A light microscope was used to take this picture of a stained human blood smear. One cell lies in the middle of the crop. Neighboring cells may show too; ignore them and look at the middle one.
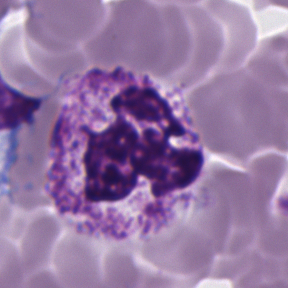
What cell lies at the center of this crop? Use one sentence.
Here the cell in the middle is a segmented neutrophil.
